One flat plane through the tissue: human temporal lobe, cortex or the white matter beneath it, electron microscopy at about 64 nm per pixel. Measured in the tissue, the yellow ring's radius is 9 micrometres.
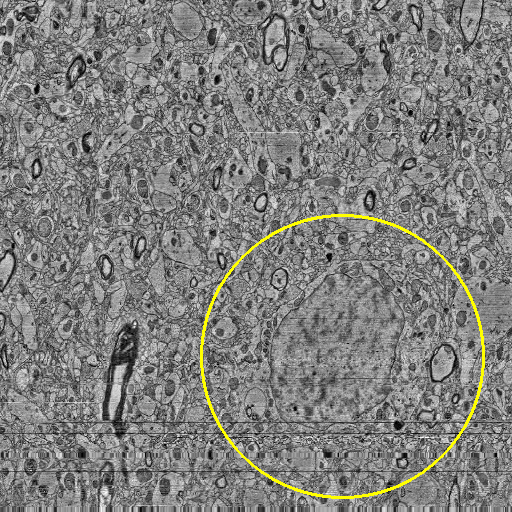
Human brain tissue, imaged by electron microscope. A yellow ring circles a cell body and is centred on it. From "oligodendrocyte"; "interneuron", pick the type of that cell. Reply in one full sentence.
The cell body at the centre of the yellow ring belongs to an interneuron.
